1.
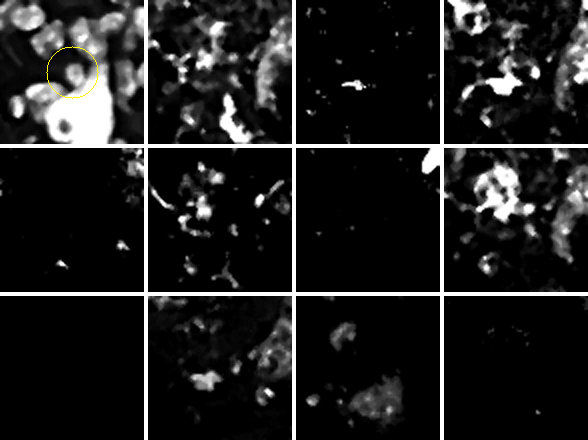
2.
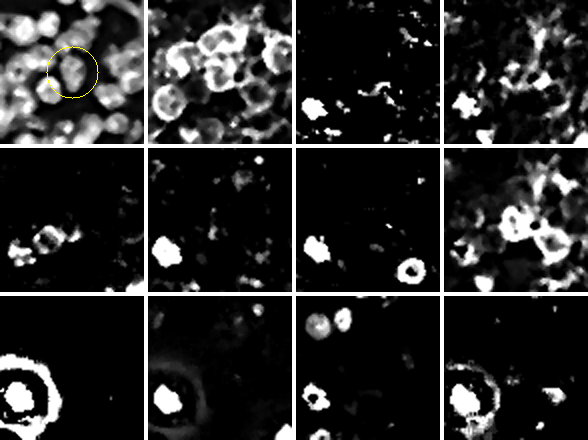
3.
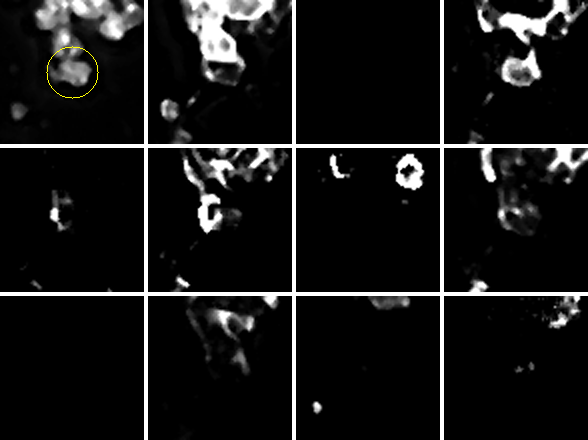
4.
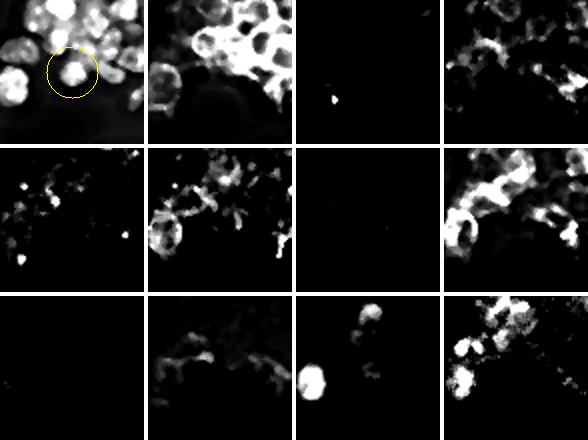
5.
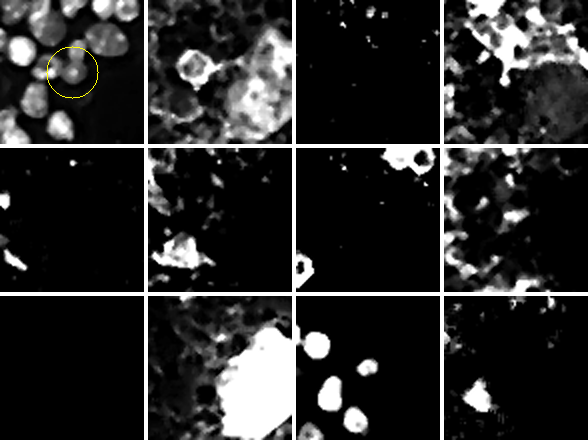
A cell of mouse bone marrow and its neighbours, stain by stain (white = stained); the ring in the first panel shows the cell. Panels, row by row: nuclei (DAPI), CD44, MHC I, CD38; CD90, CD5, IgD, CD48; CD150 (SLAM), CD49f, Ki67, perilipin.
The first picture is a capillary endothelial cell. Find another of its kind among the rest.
Picture 5.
